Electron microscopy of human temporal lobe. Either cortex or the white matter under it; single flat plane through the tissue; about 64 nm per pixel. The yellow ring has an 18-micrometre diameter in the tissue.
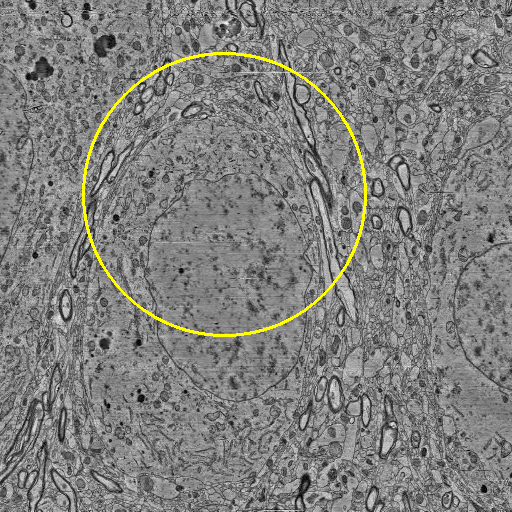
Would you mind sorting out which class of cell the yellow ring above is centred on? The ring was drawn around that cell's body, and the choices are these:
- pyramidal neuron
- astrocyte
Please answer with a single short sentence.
This is the cell body of a pyramidal neuron.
